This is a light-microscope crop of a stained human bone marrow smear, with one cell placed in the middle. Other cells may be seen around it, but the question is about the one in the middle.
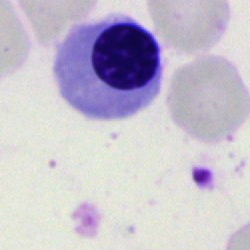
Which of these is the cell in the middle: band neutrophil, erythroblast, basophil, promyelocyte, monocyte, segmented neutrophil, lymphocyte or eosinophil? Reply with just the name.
erythroblast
